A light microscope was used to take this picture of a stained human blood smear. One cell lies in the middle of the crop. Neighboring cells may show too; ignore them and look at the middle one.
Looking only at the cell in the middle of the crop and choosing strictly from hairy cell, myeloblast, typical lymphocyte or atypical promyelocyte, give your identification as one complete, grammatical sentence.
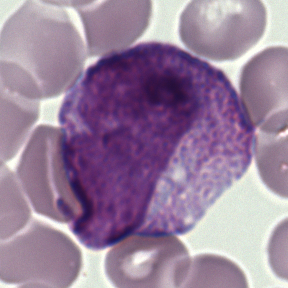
The identification for the central cell is an atypical promyelocyte.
